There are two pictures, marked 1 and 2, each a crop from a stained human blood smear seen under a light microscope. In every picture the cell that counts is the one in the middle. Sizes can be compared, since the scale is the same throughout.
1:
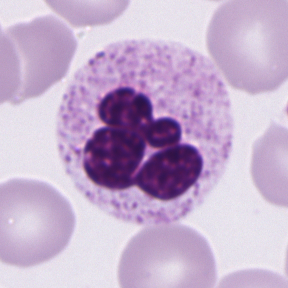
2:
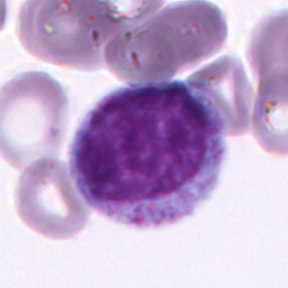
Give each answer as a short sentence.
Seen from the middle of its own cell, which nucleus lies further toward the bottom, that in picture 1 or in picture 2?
In picture 1 the nucleus is shifted more toward the bottom.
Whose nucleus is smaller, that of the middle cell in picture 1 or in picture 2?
Smaller is the nucleus in picture 1, and the other is about 1.5 times as large in area.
